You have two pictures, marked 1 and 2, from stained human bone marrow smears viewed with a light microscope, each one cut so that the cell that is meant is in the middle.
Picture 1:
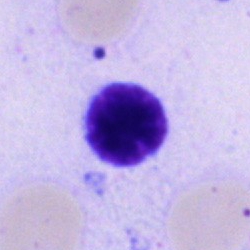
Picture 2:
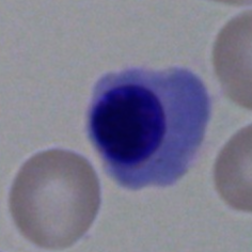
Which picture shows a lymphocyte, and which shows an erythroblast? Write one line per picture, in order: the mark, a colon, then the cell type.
1: lymphocyte
2: erythroblast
